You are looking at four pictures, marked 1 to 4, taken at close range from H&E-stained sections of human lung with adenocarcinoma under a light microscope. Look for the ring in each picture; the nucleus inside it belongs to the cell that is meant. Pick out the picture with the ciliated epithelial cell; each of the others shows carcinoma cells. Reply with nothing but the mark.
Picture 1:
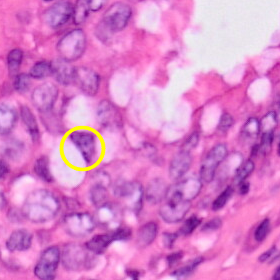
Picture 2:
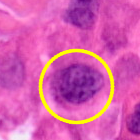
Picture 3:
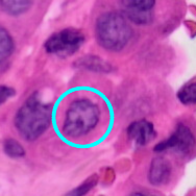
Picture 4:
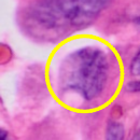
1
